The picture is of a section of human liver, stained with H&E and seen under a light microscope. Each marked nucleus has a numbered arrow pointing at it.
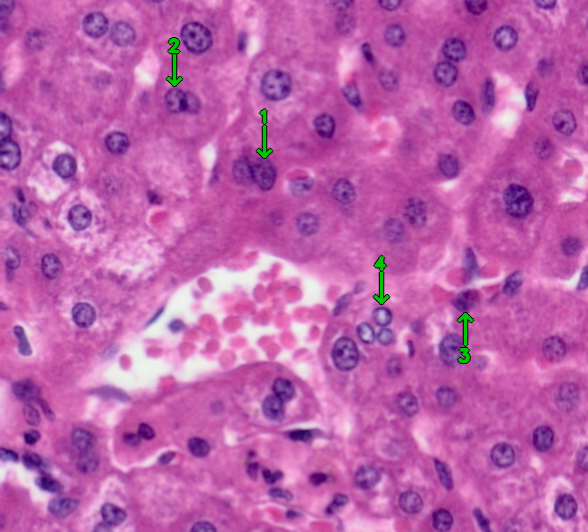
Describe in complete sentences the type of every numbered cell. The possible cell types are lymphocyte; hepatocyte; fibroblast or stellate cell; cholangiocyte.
Cells 1 and 2 are hepatocytes. Cell 3 is a fibroblast or stellate cell. Cell 4 is a cholangiocyte.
